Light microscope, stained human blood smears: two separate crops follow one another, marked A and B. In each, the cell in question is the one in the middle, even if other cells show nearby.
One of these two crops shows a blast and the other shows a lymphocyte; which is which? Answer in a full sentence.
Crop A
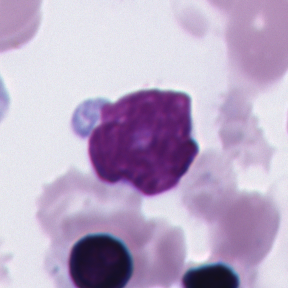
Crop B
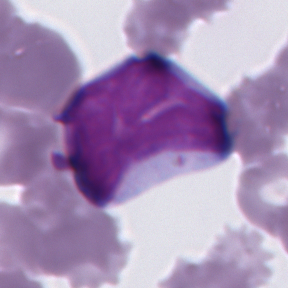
Crop A and crop B are a lymphocyte and a blast, in that order.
